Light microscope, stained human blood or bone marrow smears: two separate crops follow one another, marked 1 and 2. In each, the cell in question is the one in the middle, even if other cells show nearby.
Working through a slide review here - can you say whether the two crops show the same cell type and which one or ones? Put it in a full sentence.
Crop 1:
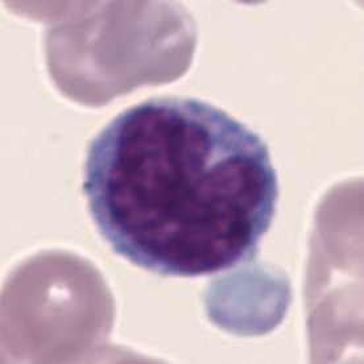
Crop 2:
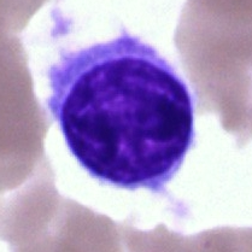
No, whereas crop 1 shows a monocyte, crop 2 shows a hairy cell.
